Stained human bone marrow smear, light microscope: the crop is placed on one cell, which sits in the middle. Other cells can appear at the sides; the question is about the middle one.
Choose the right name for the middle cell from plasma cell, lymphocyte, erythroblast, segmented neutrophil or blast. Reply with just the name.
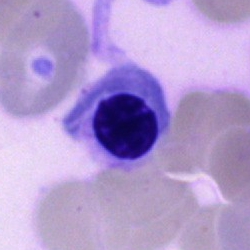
erythroblast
